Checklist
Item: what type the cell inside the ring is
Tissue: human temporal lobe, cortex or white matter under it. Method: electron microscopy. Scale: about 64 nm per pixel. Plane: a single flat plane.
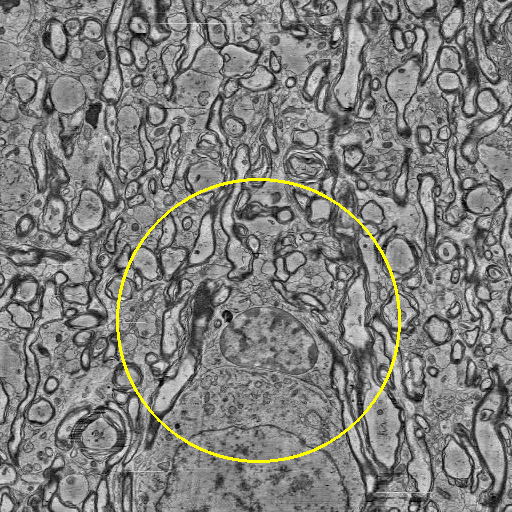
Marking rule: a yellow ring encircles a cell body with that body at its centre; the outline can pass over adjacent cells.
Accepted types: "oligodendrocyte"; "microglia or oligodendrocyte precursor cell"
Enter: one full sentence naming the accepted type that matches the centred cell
The entry is that a microglial cell or oligodendrocyte precursor cell lies at the centre of the yellow ring.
